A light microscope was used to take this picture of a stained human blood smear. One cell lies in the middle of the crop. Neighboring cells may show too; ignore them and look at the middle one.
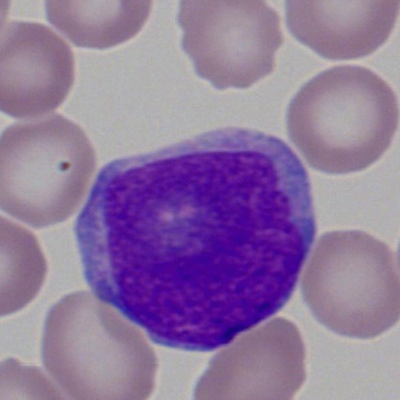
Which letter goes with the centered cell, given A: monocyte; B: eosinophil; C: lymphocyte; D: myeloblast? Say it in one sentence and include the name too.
Since the cell in the centre is a myeloblast, the correct option is D.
